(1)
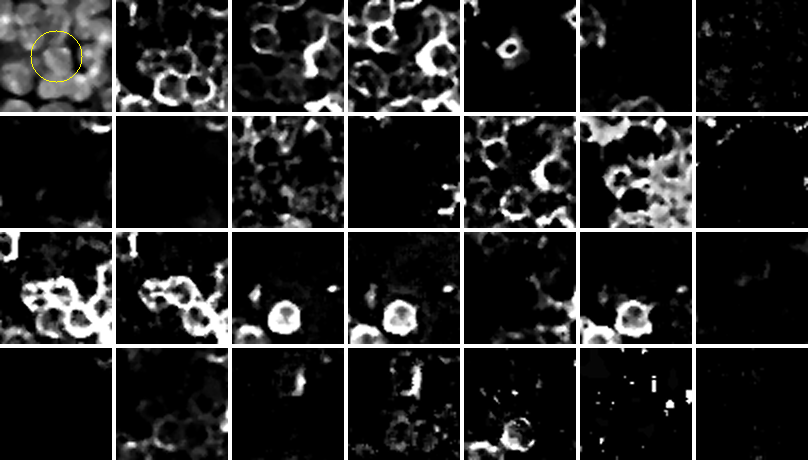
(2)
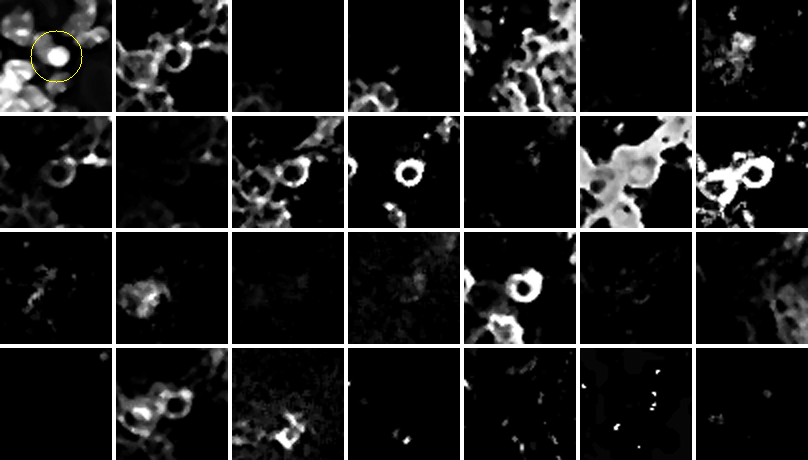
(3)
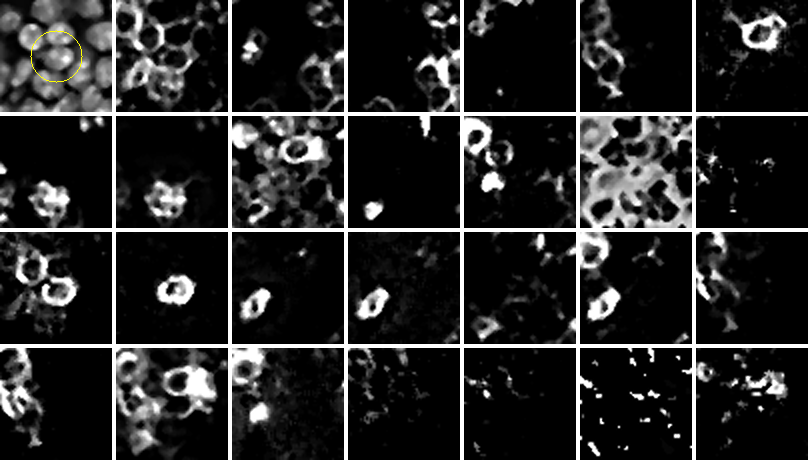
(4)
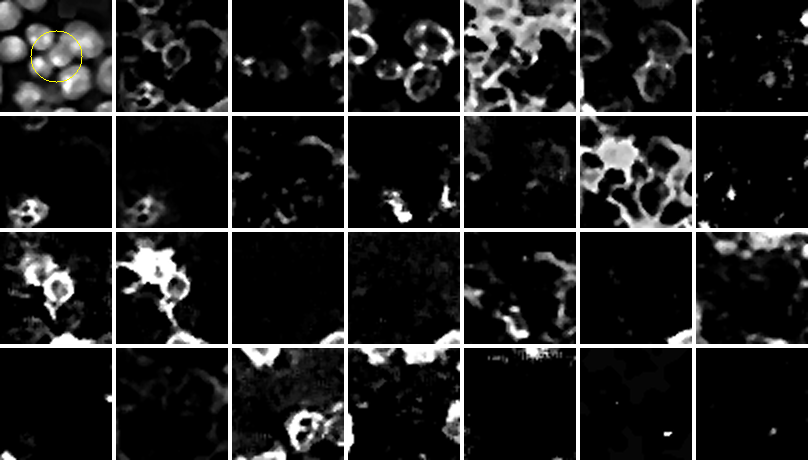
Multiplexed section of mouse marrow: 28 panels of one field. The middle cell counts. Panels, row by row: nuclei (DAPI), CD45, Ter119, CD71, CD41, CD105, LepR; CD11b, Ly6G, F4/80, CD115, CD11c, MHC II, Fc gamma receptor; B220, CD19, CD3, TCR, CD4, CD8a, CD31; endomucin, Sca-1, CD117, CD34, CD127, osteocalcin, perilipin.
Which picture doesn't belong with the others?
Picture 2.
